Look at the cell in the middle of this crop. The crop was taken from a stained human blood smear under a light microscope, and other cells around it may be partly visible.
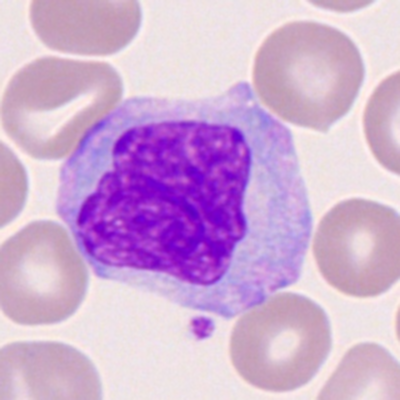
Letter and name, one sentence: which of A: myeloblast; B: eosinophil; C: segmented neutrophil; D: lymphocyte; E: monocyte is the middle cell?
Identified correctly by option E, the cell in the middle is a monocyte.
